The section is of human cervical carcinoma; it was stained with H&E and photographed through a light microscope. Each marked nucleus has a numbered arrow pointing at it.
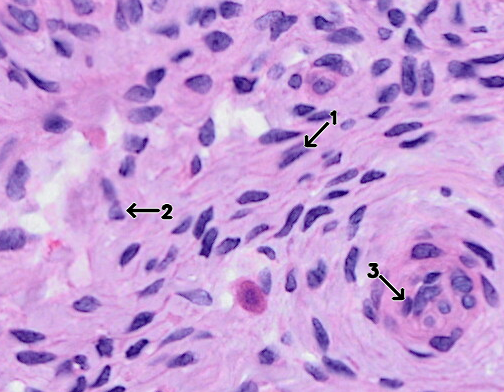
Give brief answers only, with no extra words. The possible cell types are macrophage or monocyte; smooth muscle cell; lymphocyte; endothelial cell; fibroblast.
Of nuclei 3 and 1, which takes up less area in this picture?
3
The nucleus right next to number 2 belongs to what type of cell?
fibroblast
